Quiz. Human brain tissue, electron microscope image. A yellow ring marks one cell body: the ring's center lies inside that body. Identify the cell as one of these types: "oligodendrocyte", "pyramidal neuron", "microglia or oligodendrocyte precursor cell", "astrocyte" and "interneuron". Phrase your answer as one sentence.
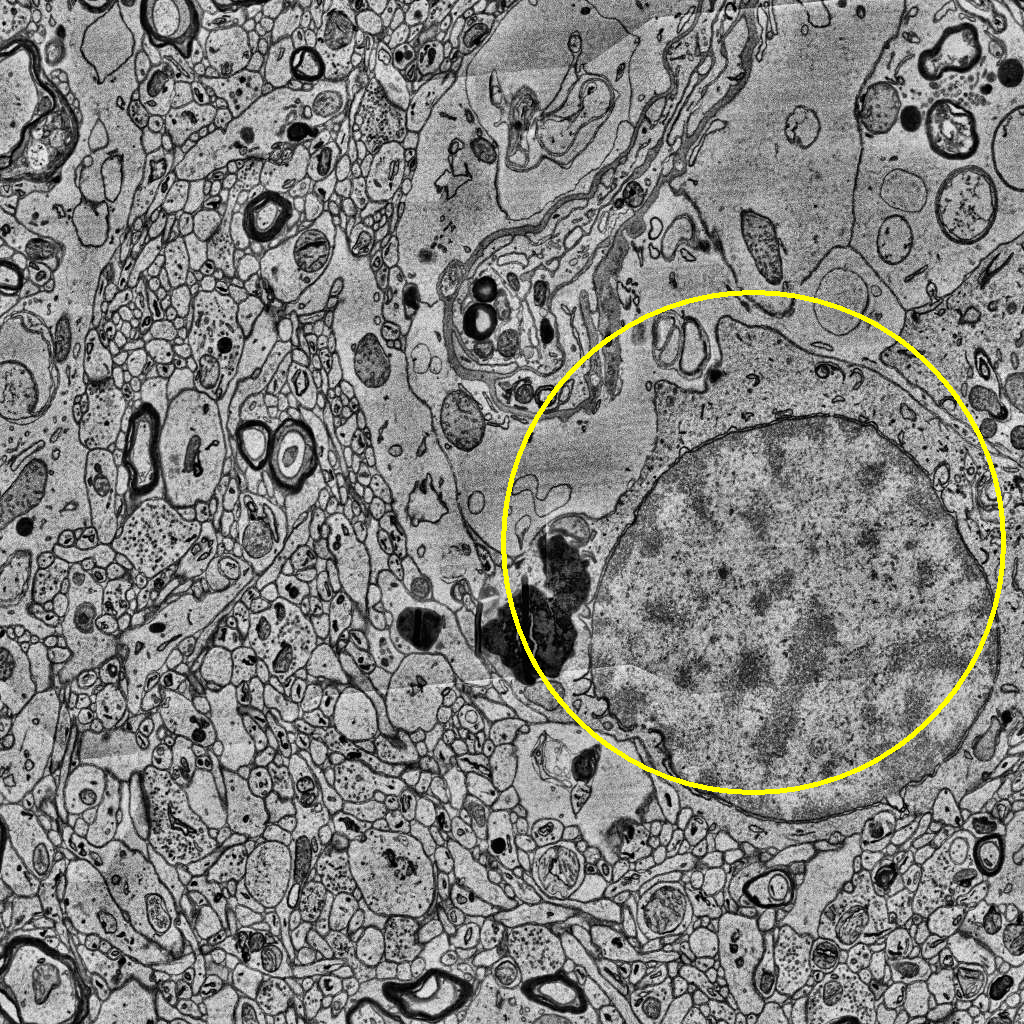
At the center of the ring sits an oligodendrocyte.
